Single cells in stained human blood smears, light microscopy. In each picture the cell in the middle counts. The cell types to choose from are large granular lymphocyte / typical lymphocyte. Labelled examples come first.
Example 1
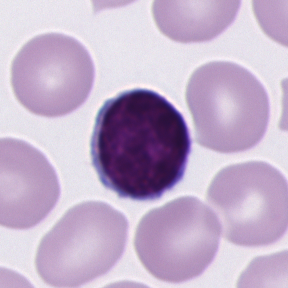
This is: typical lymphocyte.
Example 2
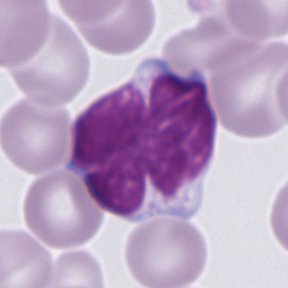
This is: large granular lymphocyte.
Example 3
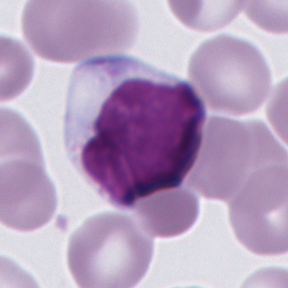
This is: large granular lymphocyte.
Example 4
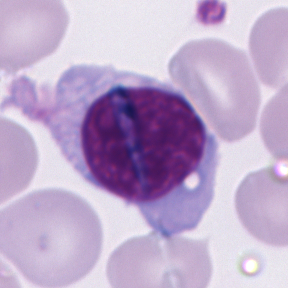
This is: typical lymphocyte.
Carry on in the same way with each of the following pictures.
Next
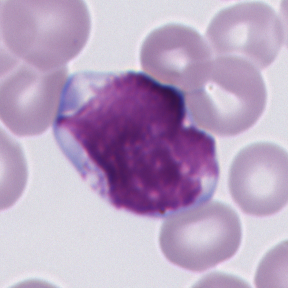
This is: large granular lymphocyte.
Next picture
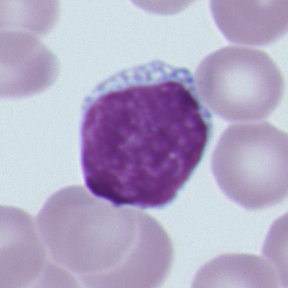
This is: typical lymphocyte.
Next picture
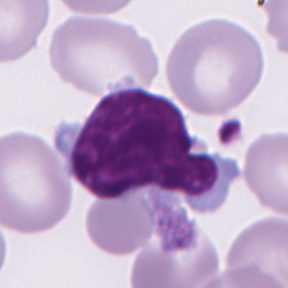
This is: typical lymphocyte.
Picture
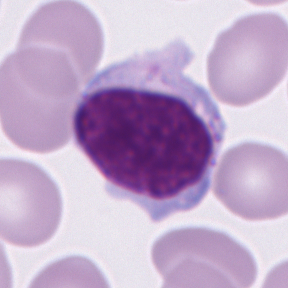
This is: large granular lymphocyte.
